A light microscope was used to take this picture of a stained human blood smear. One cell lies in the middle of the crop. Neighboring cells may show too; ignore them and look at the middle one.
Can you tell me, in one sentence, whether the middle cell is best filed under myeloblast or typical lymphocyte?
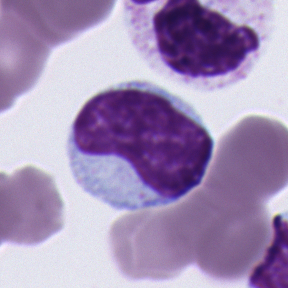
The center cell of this crop is a typical lymphocyte.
